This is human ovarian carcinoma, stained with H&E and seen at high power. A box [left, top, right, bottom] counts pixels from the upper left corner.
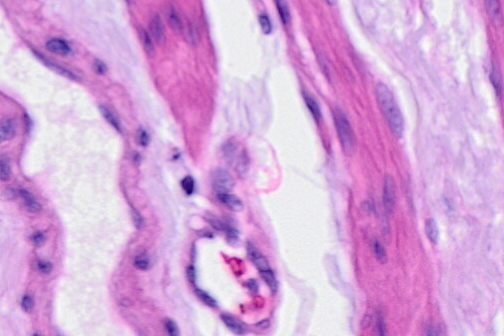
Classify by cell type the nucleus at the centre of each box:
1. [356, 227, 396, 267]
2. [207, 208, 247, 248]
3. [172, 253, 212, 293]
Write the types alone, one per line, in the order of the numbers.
smooth muscle cell
endothelial cell
endothelial cell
